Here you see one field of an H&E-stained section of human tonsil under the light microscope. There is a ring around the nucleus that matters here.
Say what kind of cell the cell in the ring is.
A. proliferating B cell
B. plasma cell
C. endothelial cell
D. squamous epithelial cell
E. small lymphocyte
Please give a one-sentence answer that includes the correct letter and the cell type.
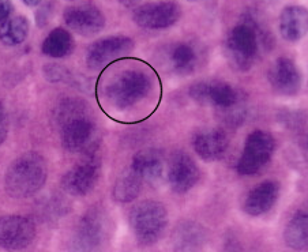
Option D properly identifies the cell in the ring as a squamous epithelial cell.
